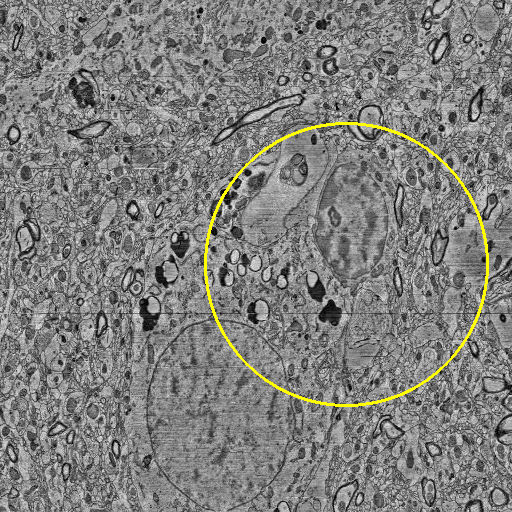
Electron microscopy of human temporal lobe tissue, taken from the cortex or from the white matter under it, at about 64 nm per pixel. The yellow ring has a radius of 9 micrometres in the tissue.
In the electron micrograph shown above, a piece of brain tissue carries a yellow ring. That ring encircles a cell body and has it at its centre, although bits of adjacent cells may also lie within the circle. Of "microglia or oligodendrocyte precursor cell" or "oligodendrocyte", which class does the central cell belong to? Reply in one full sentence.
The cell body at the centre of the yellow ring belongs to an oligodendrocyte.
